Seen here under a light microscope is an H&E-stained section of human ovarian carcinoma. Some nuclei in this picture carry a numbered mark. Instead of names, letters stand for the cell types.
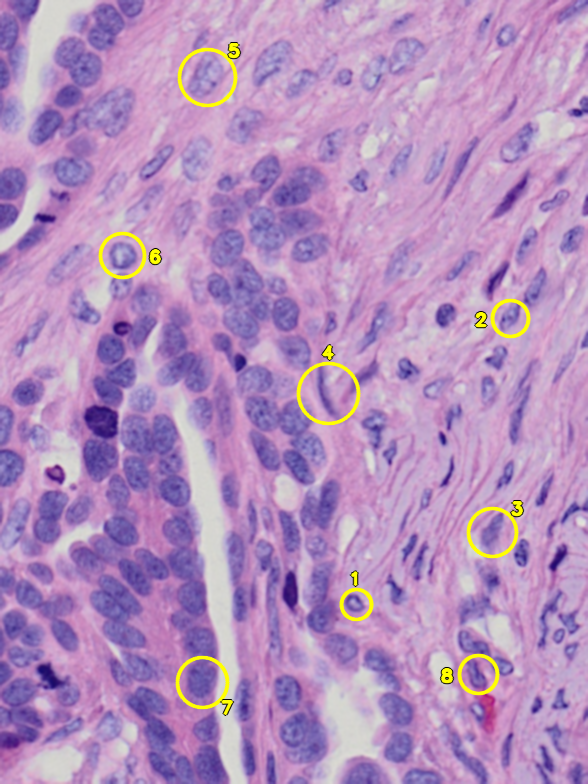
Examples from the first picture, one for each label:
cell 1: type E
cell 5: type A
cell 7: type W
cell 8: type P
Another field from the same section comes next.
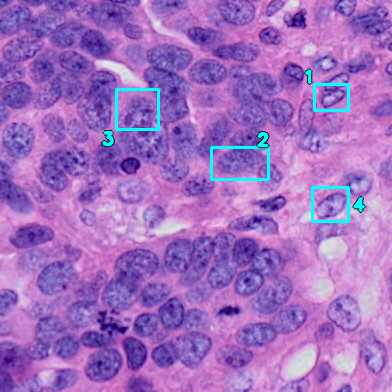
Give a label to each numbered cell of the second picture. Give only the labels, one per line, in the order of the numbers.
type P
type W
type W
type A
